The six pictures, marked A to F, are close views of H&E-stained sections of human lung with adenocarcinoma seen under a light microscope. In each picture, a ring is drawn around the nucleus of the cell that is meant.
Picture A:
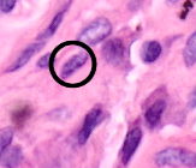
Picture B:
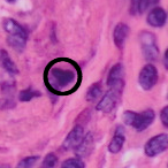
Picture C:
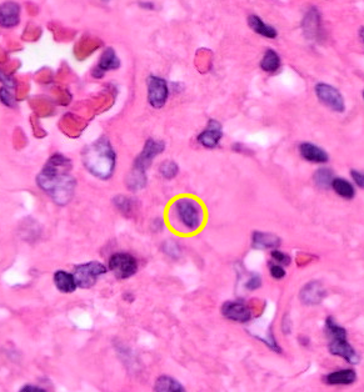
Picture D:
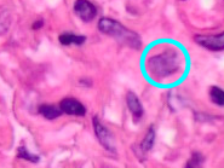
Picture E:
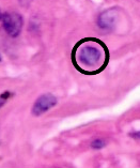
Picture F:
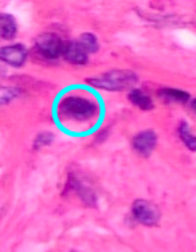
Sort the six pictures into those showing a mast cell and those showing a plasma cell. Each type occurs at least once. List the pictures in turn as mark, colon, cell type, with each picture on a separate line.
A: mast cell
B: plasma cell
C: mast cell
D: mast cell
E: mast cell
F: plasma cell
